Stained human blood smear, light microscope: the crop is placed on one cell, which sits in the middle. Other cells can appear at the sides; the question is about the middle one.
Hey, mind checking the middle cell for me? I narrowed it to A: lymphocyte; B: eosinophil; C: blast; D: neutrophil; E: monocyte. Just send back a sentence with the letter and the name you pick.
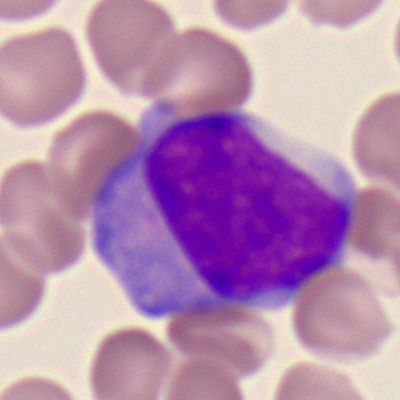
Option C is right in identifying the central cell as a blast.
